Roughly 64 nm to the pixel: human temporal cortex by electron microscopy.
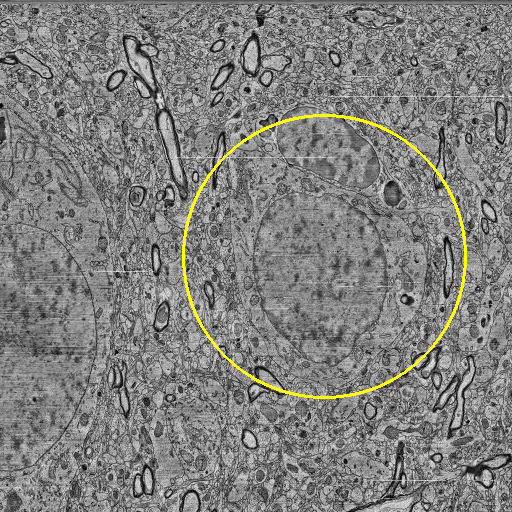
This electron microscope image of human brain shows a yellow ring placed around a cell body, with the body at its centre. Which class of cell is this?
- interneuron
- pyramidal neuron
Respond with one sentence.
The cell body at the ring's centre is an interneuron.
